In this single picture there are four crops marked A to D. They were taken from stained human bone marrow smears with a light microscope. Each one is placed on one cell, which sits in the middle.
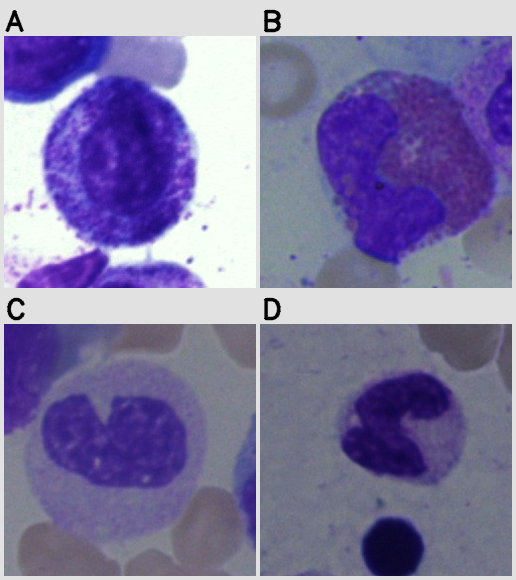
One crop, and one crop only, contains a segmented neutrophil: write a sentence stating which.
Crop D is the crop that displays a segmented neutrophil.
